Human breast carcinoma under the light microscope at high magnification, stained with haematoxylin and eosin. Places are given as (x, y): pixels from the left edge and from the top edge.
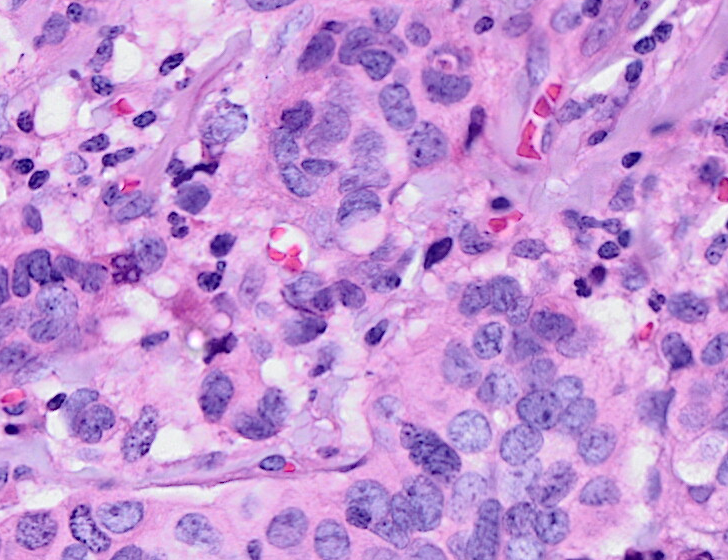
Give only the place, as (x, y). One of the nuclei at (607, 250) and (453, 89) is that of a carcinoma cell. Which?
(453, 89)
